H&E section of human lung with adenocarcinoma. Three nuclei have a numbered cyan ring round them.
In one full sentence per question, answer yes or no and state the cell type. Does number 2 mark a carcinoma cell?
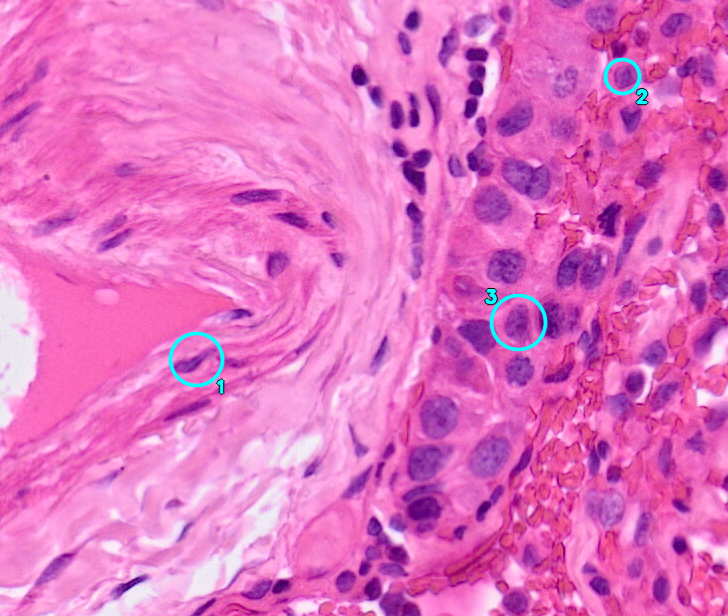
No, cell 2 is to be classed as a macrophage or monocyte, not a carcinoma cell.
